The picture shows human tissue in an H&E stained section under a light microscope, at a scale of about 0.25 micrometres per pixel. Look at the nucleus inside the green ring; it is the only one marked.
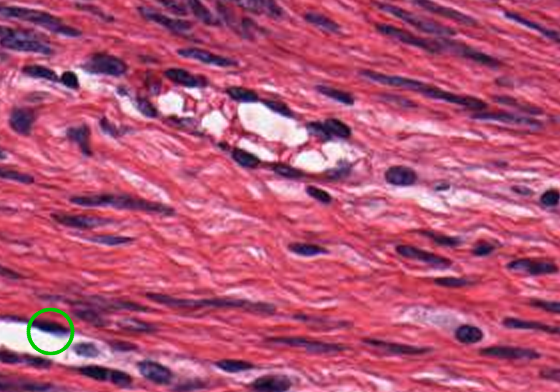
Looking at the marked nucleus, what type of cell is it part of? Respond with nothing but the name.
endothelial cell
